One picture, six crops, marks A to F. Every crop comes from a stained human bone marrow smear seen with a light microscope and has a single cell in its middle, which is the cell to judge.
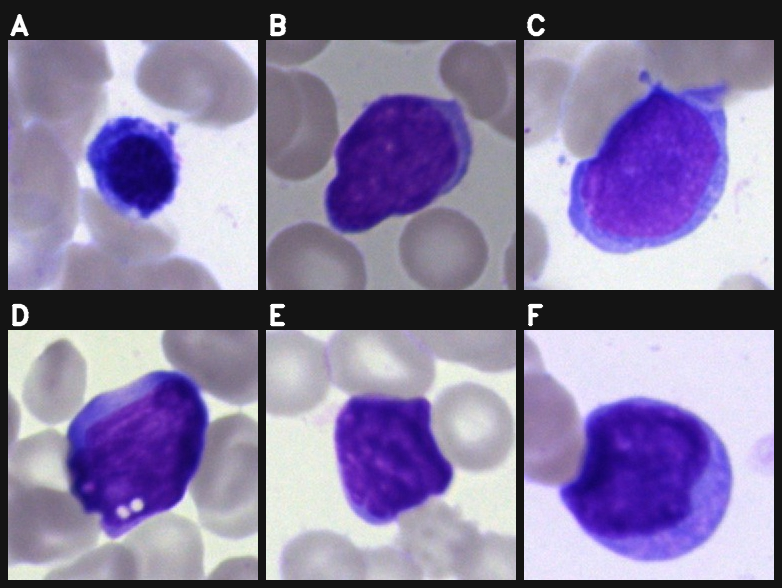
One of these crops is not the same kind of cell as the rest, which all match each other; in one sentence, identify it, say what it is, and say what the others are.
The exception in this group is crop A, an erythroblast, and the others are all blasts.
